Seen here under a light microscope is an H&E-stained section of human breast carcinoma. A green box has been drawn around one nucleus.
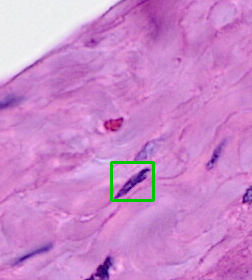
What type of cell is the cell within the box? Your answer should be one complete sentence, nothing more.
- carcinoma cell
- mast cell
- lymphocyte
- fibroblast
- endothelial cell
In the tissue at hand, the cell within the box is a fibroblast.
